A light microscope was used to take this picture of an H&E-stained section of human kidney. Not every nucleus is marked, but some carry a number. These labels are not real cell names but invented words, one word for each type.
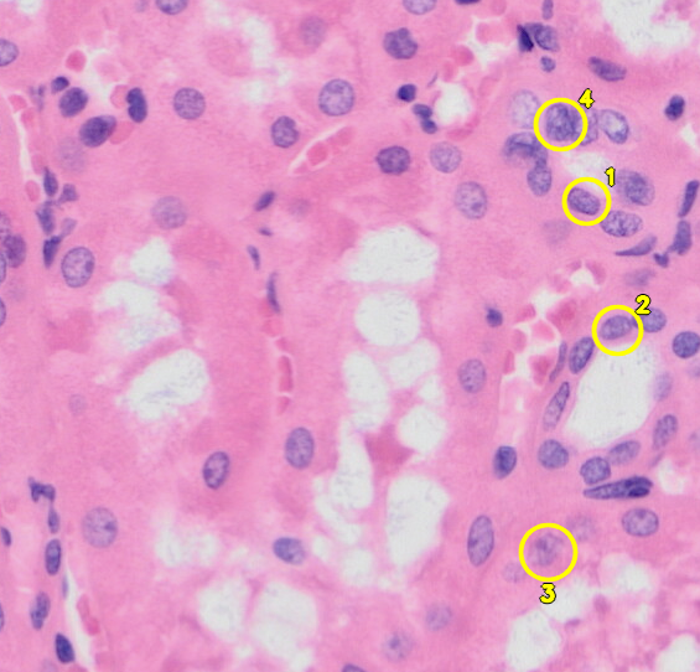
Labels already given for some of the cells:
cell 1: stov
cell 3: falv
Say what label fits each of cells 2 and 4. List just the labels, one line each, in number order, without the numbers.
stov
stov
